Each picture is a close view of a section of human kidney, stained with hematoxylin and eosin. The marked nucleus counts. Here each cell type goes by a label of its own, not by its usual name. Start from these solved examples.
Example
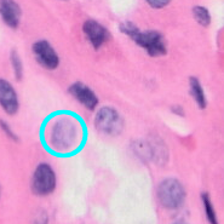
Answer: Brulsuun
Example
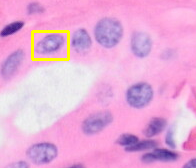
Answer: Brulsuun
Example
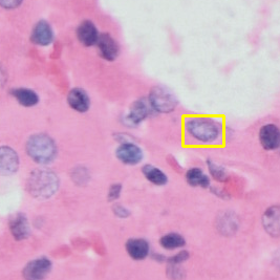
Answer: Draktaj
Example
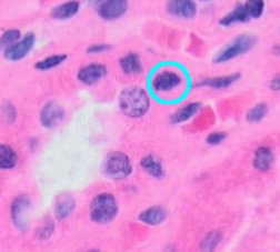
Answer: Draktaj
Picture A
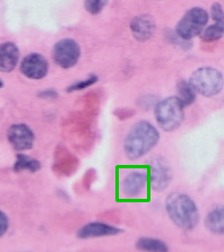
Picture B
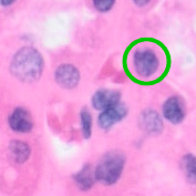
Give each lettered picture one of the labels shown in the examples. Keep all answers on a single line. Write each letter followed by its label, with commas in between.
A Brulsuun, B Draktaj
